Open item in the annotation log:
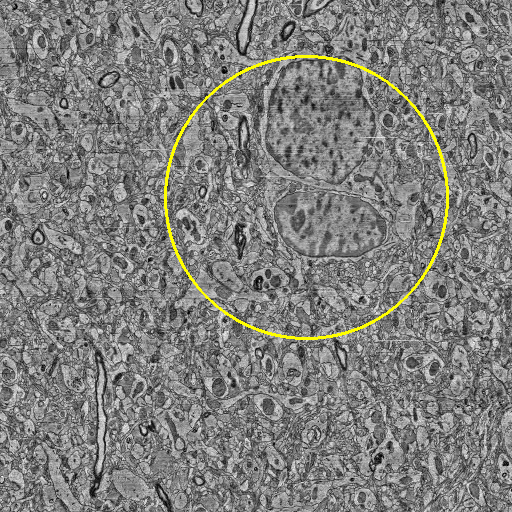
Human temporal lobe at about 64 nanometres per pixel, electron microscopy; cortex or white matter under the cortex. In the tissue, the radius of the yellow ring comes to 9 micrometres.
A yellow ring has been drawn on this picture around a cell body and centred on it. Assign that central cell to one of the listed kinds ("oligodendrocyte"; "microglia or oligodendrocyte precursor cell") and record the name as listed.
microglia or oligodendrocyte precursor cell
